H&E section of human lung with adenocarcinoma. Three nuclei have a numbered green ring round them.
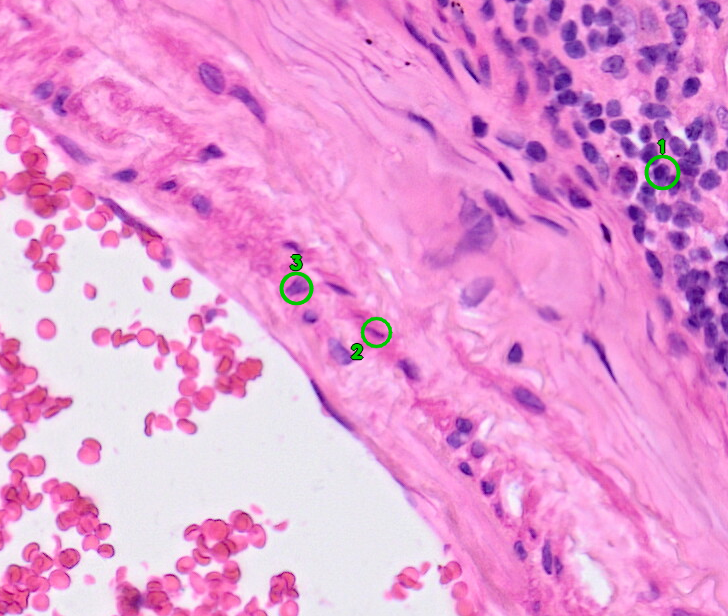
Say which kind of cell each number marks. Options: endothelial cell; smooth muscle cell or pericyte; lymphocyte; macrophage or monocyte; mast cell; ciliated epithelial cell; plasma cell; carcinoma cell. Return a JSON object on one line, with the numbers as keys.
{"1": "lymphocyte", "2": "smooth muscle cell or pericyte", "3": "smooth muscle cell or pericyte"}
